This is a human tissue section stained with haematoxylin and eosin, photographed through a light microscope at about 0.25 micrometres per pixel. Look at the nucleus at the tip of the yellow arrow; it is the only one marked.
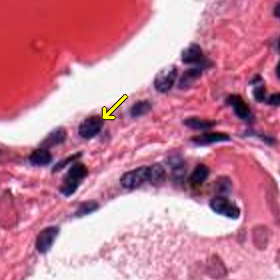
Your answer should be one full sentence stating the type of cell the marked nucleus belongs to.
Belonging to a thyroid follicular cell is the marked nucleus.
